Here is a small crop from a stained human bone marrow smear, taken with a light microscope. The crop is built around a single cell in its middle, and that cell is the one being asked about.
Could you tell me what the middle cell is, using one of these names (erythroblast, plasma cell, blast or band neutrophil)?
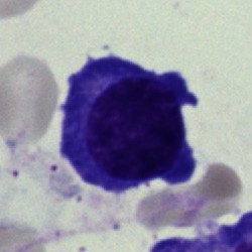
plasma cell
